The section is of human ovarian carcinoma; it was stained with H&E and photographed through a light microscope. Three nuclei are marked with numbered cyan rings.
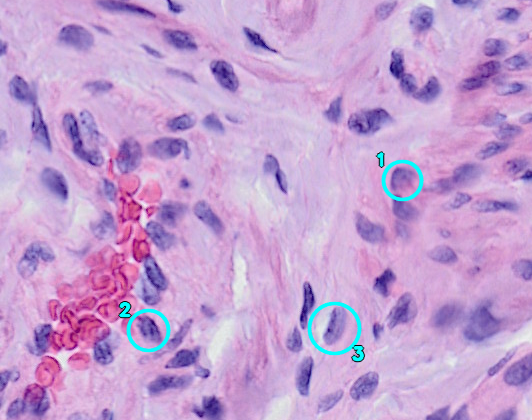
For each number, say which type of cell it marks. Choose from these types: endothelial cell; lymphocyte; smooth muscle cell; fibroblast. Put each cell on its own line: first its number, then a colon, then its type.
1: smooth muscle cell
2: endothelial cell
3: fibroblast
